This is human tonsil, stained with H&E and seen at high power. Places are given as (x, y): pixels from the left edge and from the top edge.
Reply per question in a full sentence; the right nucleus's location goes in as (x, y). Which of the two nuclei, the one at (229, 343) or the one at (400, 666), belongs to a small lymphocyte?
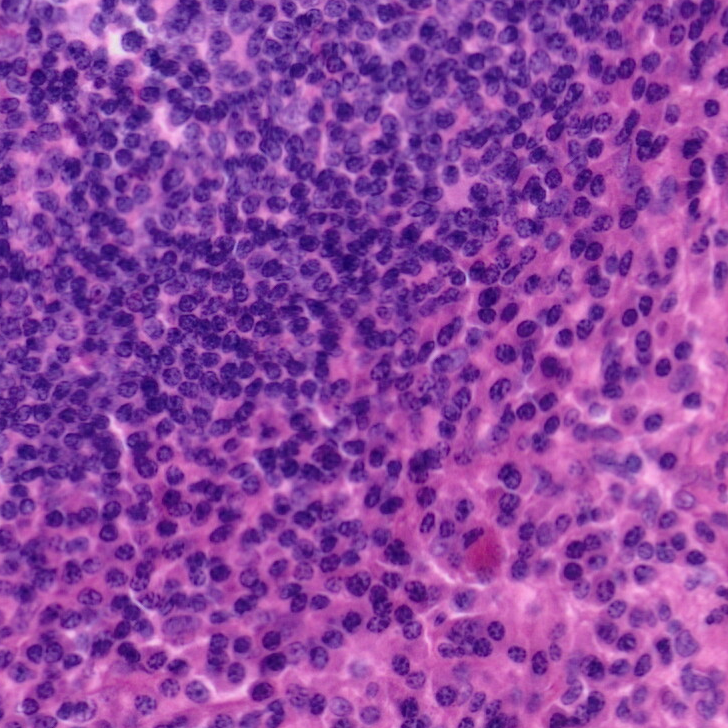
Lying within a small lymphocyte is the nucleus at (229, 343).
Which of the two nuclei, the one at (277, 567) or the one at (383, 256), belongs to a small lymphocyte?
It is the nucleus at (383, 256), not the other one, that belongs to a small lymphocyte.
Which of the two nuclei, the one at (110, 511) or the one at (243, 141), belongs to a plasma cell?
Between the pair, the nucleus at (110, 511) belongs to a plasma cell.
